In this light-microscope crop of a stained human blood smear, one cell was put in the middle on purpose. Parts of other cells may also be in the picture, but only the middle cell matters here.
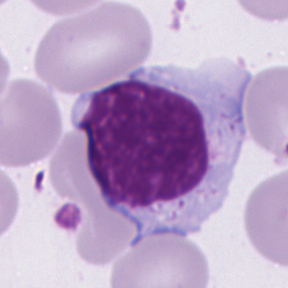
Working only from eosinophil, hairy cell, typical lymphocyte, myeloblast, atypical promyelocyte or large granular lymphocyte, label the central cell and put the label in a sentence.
The cell of interest, in the center, is a large granular lymphocyte.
